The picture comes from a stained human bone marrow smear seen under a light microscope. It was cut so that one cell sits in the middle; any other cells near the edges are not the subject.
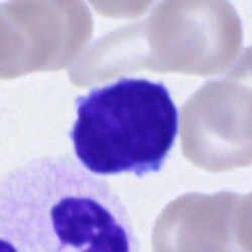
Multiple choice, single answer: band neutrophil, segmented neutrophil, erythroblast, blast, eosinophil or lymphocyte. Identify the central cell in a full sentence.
The middle position in this crop is taken by a lymphocyte.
